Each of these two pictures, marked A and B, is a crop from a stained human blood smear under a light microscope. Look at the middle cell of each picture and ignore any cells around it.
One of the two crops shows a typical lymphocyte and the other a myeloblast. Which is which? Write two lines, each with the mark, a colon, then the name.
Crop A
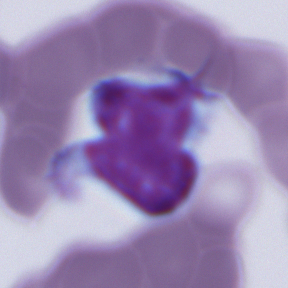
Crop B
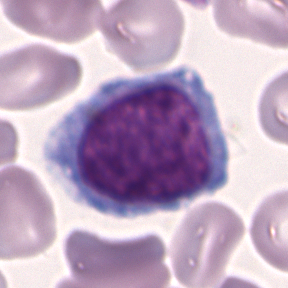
A: typical lymphocyte
B: myeloblast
